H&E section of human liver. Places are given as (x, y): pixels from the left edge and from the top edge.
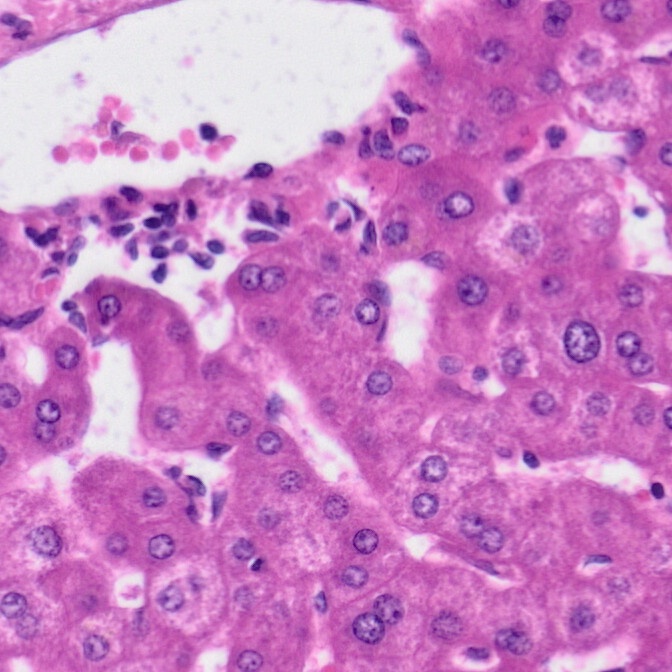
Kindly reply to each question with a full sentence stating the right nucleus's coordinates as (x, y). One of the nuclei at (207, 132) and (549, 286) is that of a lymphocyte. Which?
It is at (207, 132) that the nucleus of a lymphocyte is found.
